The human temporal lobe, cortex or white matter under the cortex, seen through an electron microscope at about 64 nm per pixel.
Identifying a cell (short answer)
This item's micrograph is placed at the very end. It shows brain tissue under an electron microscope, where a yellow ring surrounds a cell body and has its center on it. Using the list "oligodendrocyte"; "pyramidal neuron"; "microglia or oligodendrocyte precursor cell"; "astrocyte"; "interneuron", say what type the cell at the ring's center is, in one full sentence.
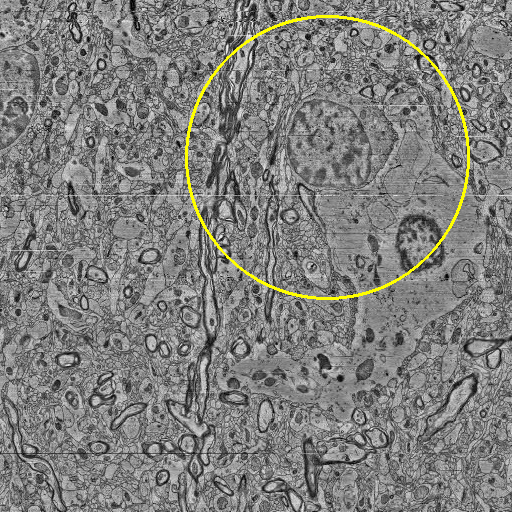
This picture shows an oligodendrocyte at the center of the yellow ring drawn on it.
